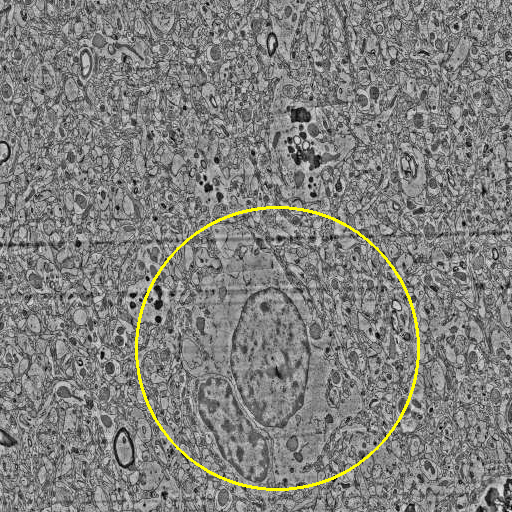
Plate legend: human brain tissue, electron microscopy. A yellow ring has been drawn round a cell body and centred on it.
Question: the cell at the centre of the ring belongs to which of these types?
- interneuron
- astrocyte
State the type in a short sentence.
The cell in the middle of the ring is an astrocyte.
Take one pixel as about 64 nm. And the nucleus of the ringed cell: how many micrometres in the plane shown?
The nucleus is about 9 micrometres in length and 5 in width, clearly longer than it is wide in this plane.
